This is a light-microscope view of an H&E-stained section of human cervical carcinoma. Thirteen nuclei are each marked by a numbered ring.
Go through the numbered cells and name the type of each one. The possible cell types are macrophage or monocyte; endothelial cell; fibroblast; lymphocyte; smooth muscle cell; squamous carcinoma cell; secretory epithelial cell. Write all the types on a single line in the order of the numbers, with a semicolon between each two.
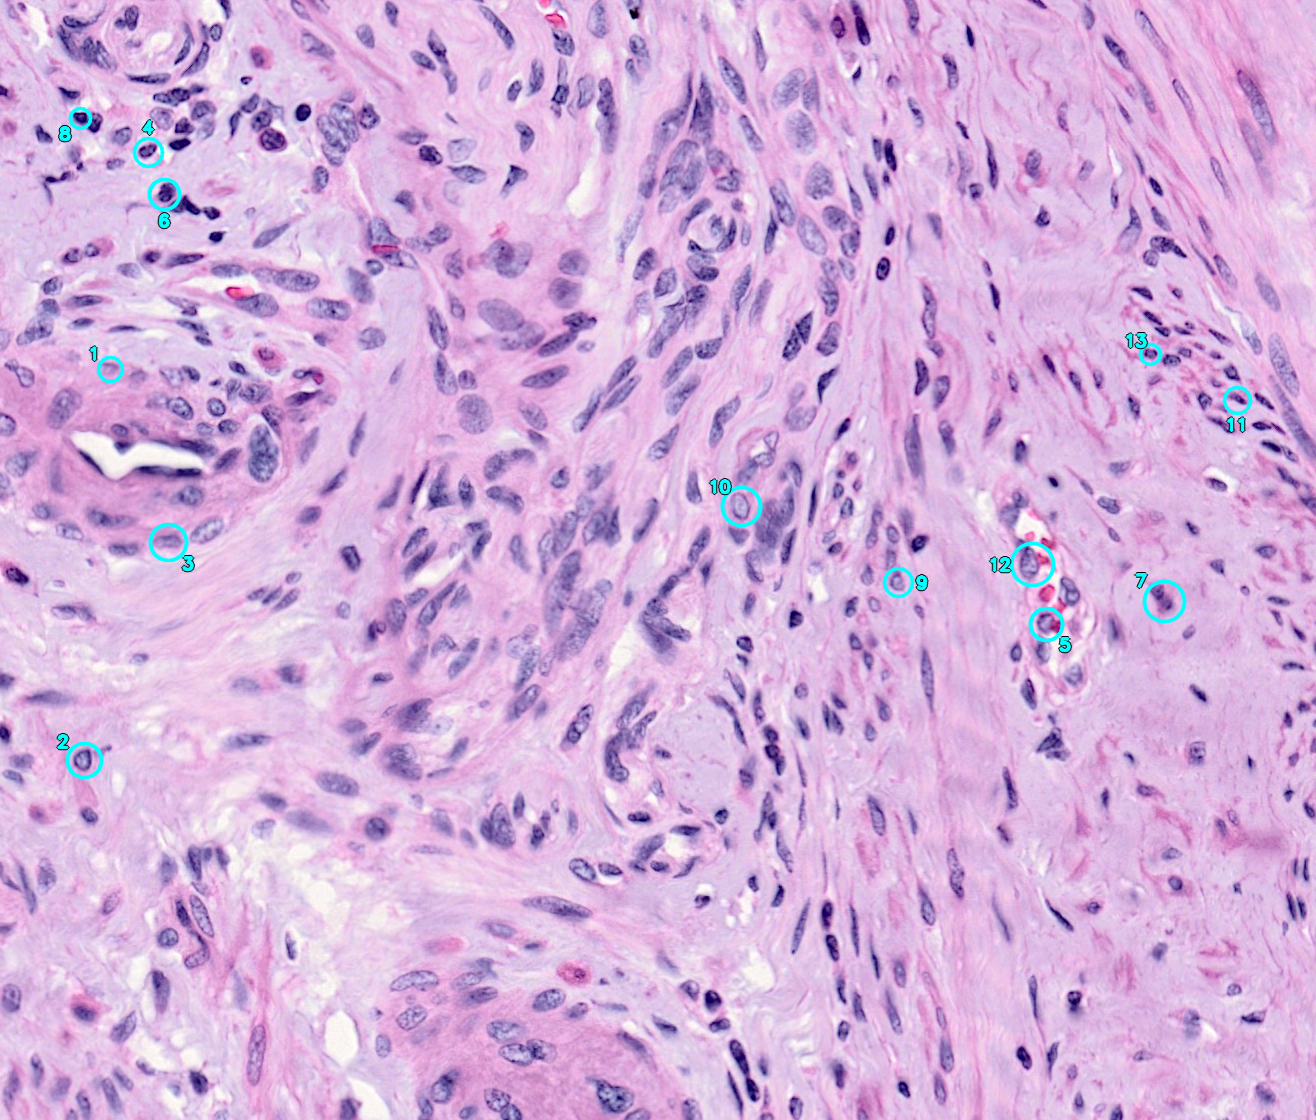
smooth muscle cell; smooth muscle cell; smooth muscle cell; lymphocyte; endothelial cell; lymphocyte; smooth muscle cell; lymphocyte; smooth muscle cell; endothelial cell; smooth muscle cell; endothelial cell; smooth muscle cell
